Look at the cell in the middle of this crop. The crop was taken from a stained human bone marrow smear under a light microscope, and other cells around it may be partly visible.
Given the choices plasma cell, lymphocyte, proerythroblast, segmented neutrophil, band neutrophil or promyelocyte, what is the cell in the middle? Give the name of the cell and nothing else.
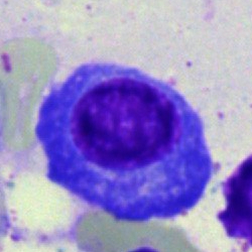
plasma cell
